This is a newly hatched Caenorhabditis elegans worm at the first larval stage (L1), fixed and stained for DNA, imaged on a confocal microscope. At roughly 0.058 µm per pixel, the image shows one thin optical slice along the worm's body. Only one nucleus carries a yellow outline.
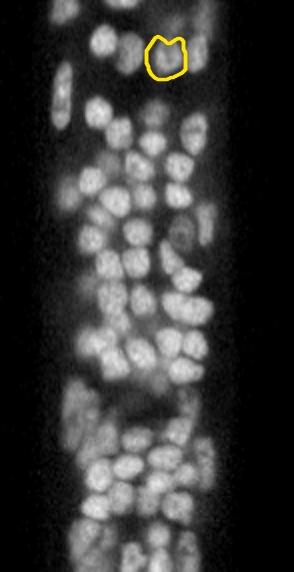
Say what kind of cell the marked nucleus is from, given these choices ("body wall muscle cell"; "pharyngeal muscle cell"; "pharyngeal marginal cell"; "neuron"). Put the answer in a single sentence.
It is the nucleus of a pharyngeal muscle cell.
